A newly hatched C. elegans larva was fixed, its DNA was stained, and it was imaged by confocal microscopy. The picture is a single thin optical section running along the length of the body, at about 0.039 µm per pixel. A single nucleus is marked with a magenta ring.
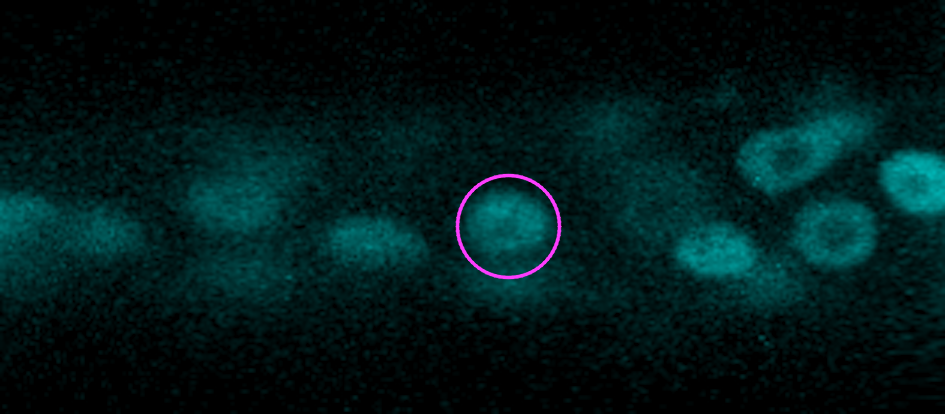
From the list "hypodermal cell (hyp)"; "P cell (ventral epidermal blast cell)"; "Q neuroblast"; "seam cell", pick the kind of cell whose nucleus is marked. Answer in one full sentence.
It is the nucleus of a seam cell.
